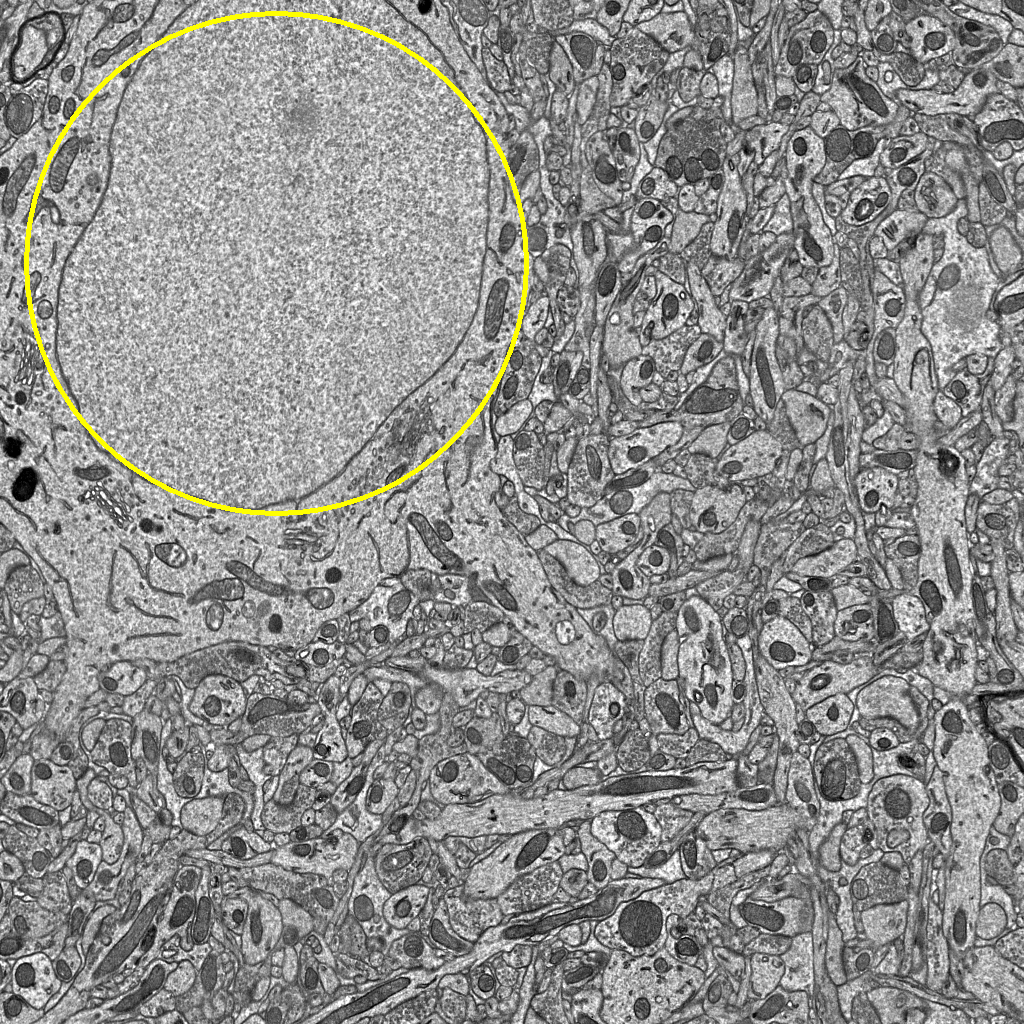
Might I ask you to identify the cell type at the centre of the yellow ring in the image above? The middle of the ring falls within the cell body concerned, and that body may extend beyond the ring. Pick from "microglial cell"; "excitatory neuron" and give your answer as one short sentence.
The centre of the ring falls on an excitatory neuron.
